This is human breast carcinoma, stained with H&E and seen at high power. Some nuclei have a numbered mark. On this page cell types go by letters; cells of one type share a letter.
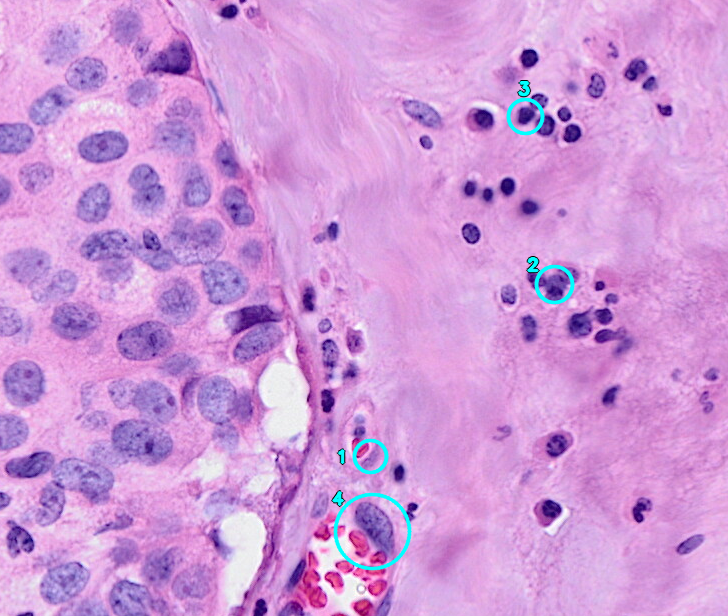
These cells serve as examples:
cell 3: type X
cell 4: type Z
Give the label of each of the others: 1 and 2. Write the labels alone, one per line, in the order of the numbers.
type Z
type X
